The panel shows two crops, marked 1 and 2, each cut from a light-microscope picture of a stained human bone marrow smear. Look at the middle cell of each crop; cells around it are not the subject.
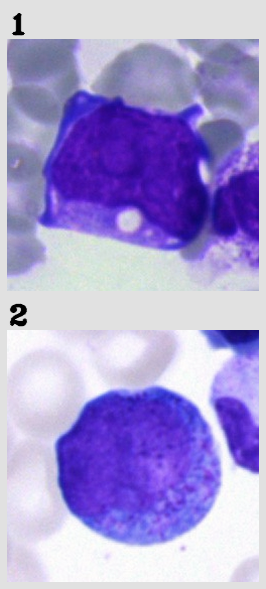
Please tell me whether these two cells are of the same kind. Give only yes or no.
no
